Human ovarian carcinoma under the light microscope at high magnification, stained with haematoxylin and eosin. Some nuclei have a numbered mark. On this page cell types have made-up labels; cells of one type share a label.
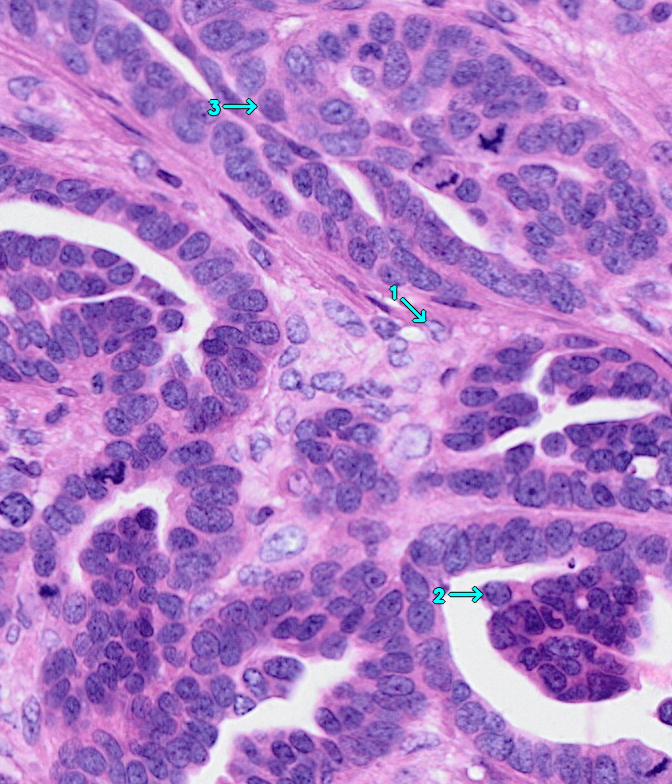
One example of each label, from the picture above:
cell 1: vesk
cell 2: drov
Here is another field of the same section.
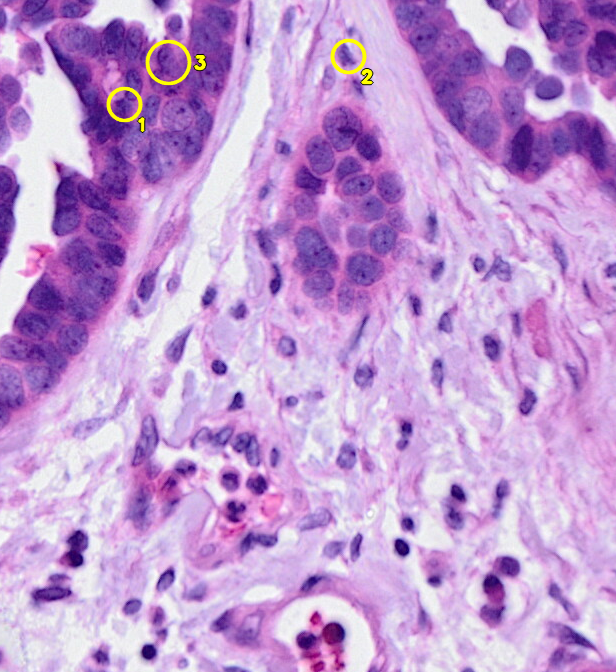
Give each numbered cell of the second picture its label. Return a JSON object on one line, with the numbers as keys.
{"1": "drov", "2": "vesk", "3": "drov"}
